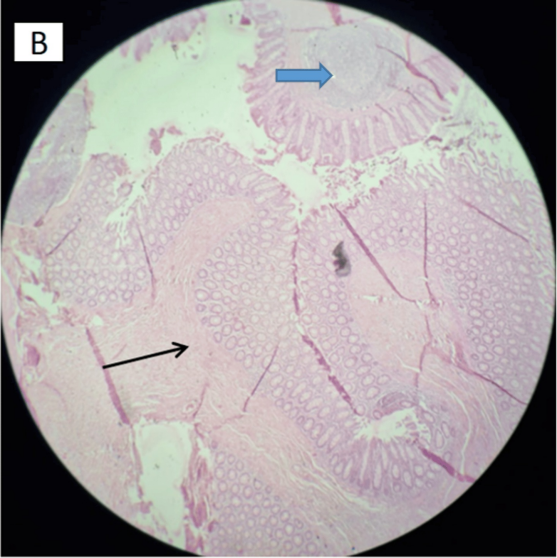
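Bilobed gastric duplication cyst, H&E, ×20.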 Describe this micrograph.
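Colonic mucosa is seen with numerous closely packed glands cut mostly in cross section as regular round rings. The glands are lined by pale-staining epithelium and sit in a pink stroma, with bands of smooth muscle running between mucosal segments. At the upper edge a round, pale, densely cellular lymphoid follicle lies at the base of the glands.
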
